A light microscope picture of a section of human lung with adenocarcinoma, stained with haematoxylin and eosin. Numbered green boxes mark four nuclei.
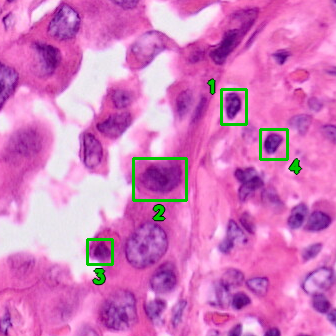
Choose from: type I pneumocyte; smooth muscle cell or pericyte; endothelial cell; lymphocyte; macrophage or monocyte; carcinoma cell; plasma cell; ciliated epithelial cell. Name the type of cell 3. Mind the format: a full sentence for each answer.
The cell pointed out by number 3 is a carcinoma cell.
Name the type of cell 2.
The cell carrying label 2 is identified as a carcinoma cell.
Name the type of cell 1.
Belonging to a lymphocyte is the nucleus that carries the number 1.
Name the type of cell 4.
The cell to which the number 4 is assigned is a lymphocyte.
